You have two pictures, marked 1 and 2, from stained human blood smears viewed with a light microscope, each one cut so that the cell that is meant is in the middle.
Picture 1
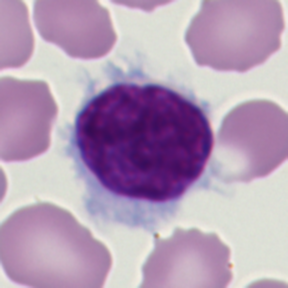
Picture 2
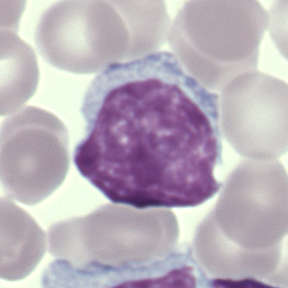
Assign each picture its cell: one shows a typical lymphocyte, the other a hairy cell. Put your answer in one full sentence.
Picture 2 shows a typical lymphocyte, while picture 1 shows a hairy cell.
